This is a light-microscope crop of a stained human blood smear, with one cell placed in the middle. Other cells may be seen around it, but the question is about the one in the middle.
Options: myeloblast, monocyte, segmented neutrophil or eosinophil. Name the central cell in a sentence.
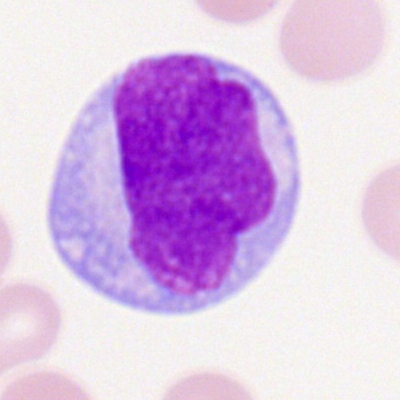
This particular crop is centered on a monocyte.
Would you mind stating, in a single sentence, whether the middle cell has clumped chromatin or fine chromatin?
The chromatin is fine throughout, without coarse clumps.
